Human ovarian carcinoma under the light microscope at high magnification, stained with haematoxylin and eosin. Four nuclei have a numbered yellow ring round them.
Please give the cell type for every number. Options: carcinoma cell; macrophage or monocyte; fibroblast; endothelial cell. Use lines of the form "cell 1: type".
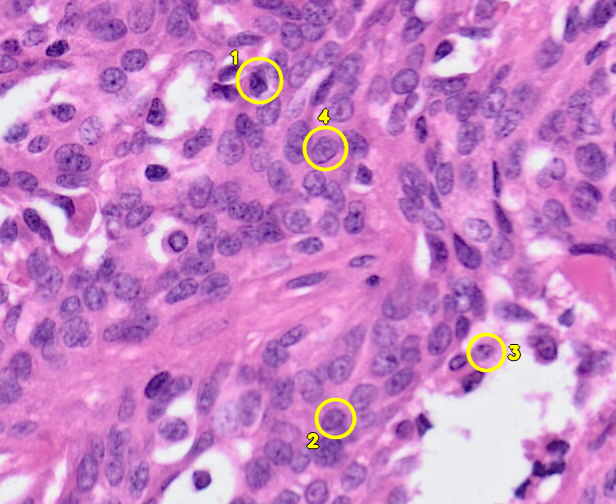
cell 1: carcinoma cell
cell 2: carcinoma cell
cell 3: macrophage or monocyte
cell 4: carcinoma cell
